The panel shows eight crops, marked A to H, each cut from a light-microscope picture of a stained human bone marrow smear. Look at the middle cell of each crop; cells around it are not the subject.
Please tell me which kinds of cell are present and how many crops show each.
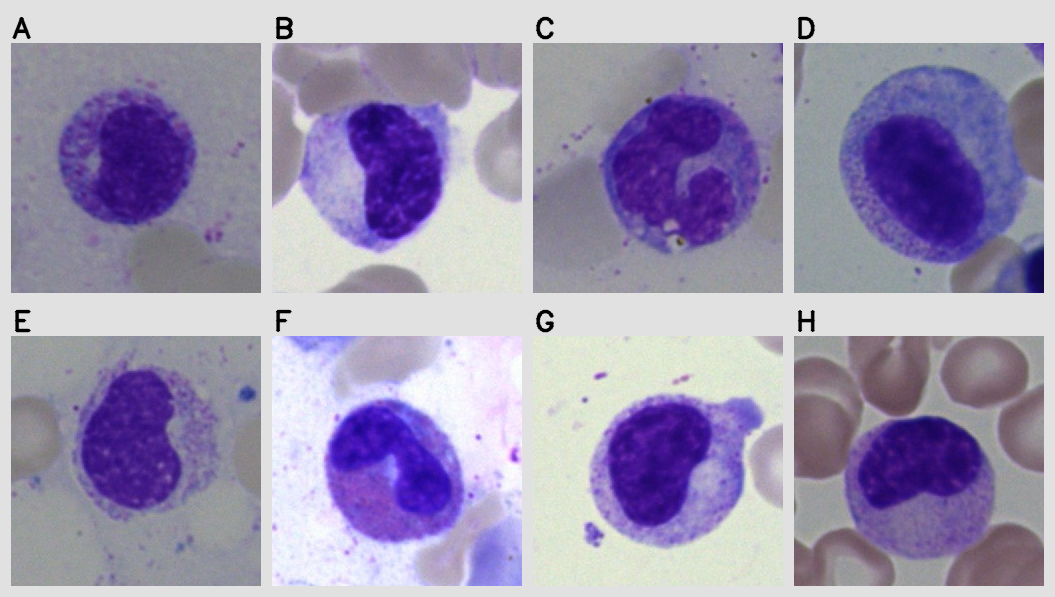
metamyelocyte: 6
monocyte: 1
eosinophil: 1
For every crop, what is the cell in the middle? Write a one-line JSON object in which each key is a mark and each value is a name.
{"A": "metamyelocyte", "B": "metamyelocyte", "C": "monocyte", "D": "metamyelocyte", "E": "metamyelocyte", "F": "eosinophil", "G": "metamyelocyte", "H": "metamyelocyte"}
